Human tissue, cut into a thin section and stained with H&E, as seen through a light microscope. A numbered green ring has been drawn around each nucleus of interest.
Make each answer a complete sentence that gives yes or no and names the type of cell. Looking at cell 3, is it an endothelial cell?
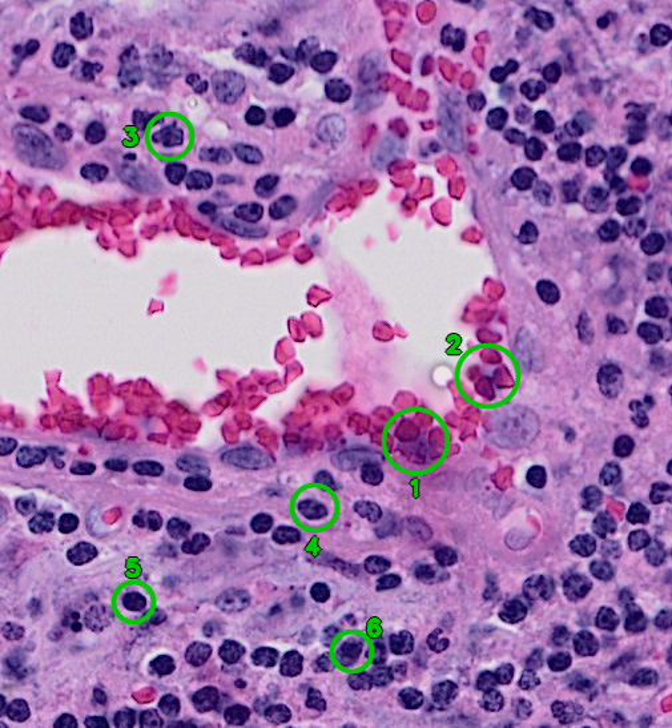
No, cell 3 should be classed as a lymphocyte, not as an endothelial cell.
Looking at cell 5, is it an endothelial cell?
No, it is not an endothelial cell that bears number 5 but a lymphocyte.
